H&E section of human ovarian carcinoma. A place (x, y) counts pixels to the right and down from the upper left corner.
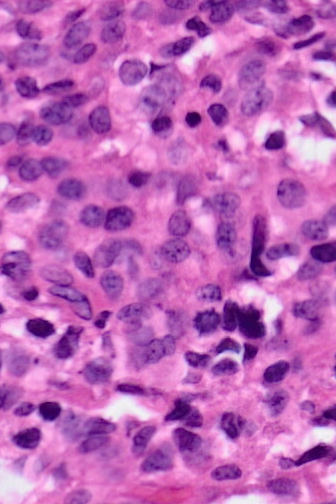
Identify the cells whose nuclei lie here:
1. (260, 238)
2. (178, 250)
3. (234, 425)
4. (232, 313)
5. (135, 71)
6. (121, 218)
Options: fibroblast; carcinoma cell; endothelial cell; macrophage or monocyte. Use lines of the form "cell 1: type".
cell 1: carcinoma cell
cell 2: carcinoma cell
cell 3: macrophage or monocyte
cell 4: carcinoma cell
cell 5: macrophage or monocyte
cell 6: carcinoma cell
